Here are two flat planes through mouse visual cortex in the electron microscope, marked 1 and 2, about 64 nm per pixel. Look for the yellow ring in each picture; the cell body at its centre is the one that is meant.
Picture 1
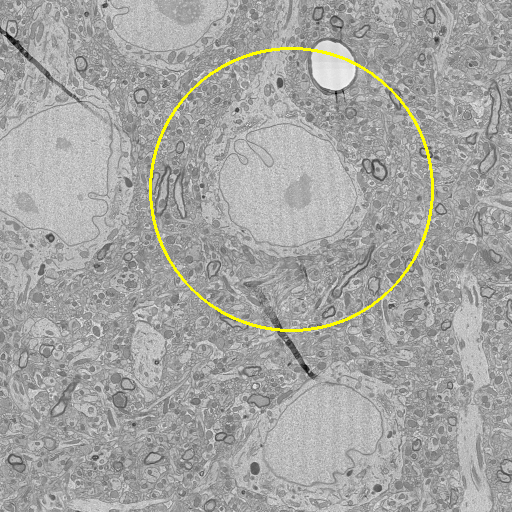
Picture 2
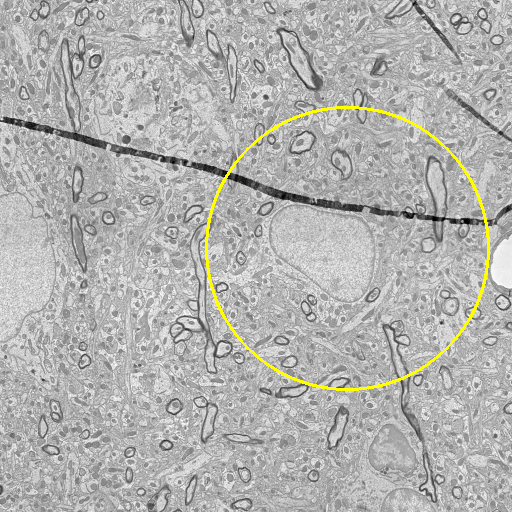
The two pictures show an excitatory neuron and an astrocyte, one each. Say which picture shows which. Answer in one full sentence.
Picture 1 shows an excitatory neuron and picture 2 shows an astrocyte.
